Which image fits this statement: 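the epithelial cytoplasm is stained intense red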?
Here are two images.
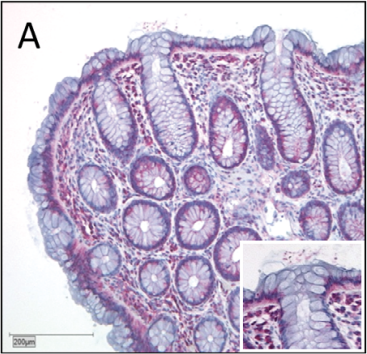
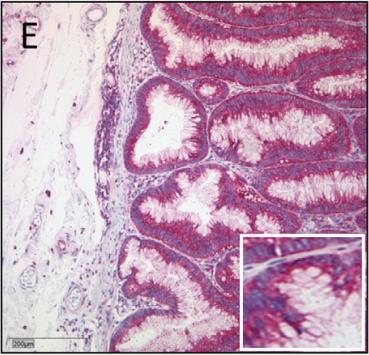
The second image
